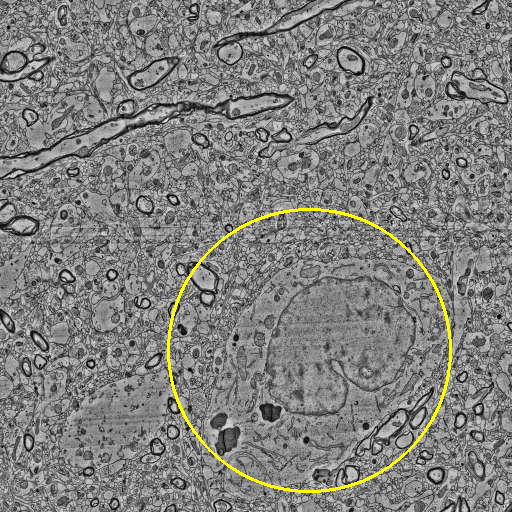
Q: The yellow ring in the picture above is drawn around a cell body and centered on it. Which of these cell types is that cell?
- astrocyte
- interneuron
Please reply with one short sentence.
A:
The cell body at the ring's center belongs to an interneuron.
